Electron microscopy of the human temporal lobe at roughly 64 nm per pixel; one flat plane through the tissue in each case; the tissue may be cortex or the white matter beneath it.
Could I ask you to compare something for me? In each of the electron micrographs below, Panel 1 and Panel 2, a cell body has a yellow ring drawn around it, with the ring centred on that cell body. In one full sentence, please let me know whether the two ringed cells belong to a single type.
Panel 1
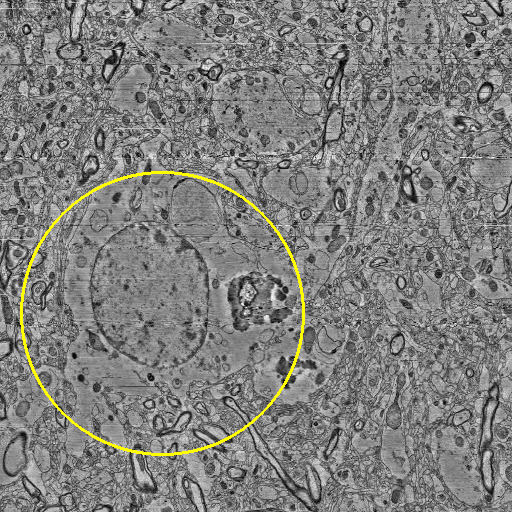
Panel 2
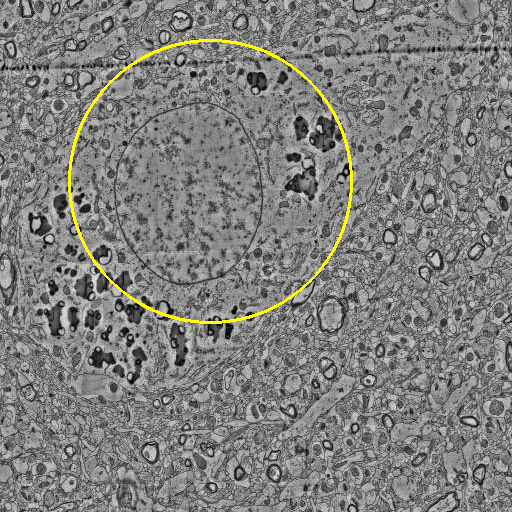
No, the two cells at the centres of the rings are of two types.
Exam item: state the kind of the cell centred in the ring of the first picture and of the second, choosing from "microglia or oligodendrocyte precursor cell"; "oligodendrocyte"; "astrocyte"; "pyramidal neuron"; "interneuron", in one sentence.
The first picture shows an astrocyte at the ring centre and the second shows a pyramidal neuron.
